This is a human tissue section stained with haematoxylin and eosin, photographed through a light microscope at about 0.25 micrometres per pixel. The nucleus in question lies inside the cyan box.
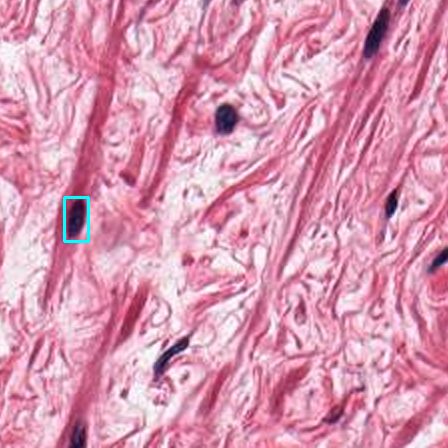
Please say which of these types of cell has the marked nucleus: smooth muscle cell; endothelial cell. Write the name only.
smooth muscle cell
